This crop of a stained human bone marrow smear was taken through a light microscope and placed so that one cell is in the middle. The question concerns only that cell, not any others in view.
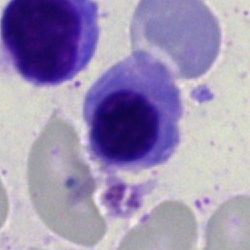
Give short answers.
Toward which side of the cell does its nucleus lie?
lower left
